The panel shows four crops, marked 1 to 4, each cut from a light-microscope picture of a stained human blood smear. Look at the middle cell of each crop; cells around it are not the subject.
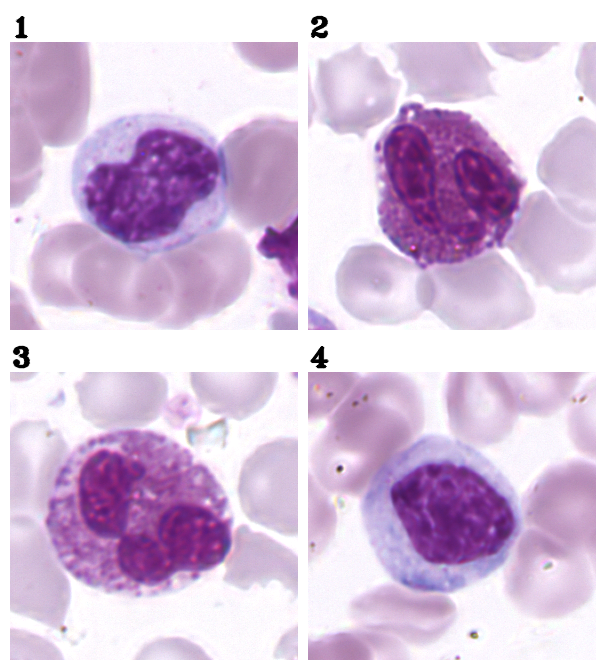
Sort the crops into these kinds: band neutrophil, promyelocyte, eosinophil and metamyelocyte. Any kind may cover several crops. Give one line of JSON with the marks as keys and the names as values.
{"1": "metamyelocyte", "2": "eosinophil", "3": "eosinophil", "4": "metamyelocyte"}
